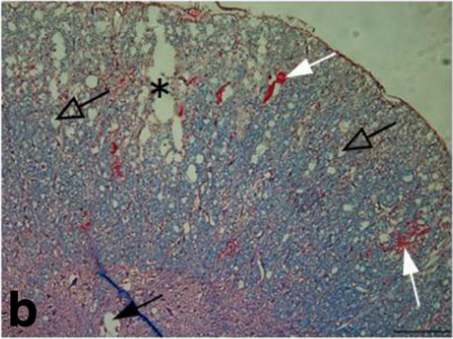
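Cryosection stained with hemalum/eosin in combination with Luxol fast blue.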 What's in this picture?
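Toward the lower part the tissue turns pink where grey matter begins. Throughout the blue area are many small round clear holes, a vacuolization of the tissue, and near the top a larger torn, empty zone where tissue has broken down into necrosis. Several bright red patches lie scattered in the blue, hemorrhages where blood has escaped, some spreading along thin streaks. Near the bottom a widened clear lumen marks a dilated blood vessel. The outer edge of the section is still intact.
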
